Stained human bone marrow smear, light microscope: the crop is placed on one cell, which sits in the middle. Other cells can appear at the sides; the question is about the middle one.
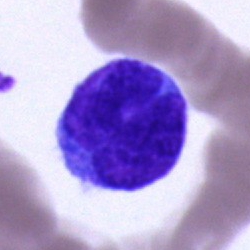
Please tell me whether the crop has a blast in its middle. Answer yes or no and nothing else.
yes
